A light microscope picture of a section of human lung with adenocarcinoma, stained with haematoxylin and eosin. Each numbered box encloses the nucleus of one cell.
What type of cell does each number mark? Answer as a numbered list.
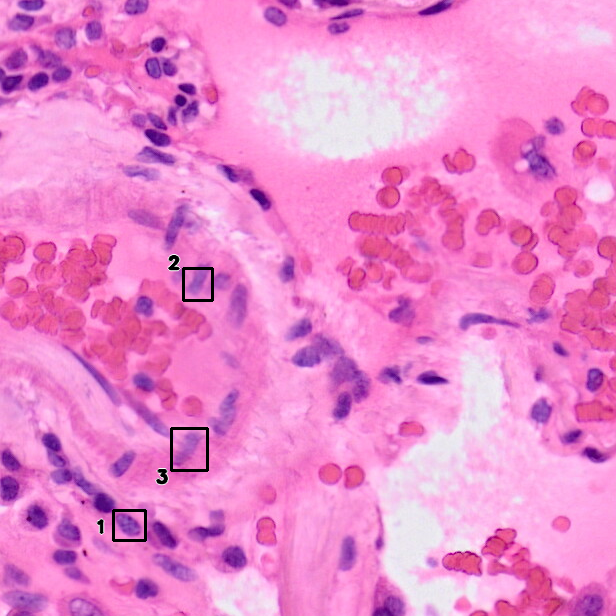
1. mast cell
2. smooth muscle cell or pericyte
3. smooth muscle cell or pericyte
